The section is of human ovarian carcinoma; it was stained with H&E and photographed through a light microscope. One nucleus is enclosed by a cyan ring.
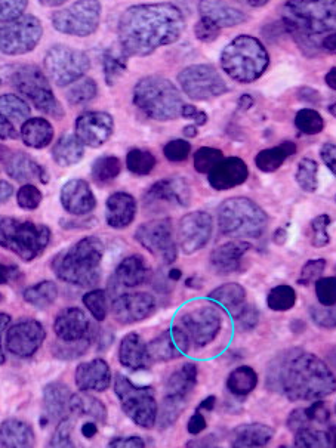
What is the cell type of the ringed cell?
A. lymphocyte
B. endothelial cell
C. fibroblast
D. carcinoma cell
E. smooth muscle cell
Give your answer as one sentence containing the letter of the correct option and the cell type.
Identified correctly by option D, the ringed cell is a carcinoma cell.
